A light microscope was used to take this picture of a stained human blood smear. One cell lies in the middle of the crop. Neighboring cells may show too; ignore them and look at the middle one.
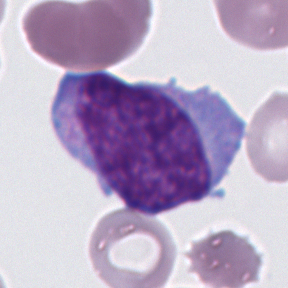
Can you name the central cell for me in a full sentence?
Whatever else lies nearby, the middle cell is an atypical promyelocyte.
